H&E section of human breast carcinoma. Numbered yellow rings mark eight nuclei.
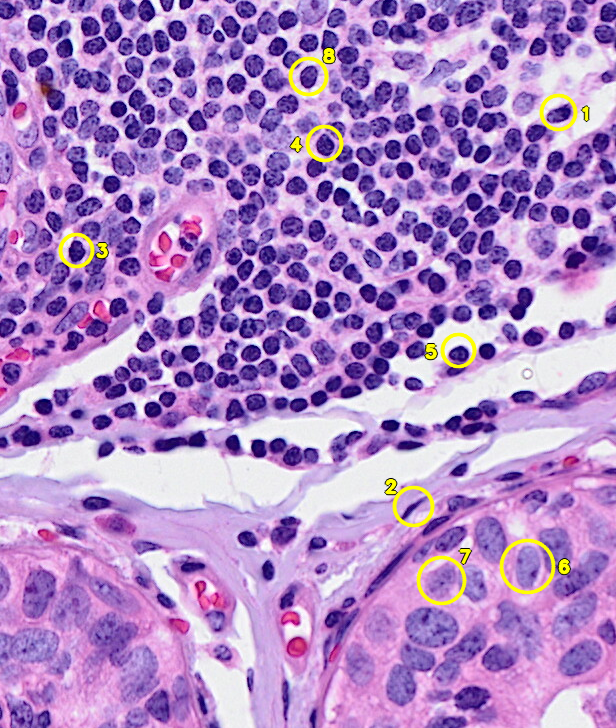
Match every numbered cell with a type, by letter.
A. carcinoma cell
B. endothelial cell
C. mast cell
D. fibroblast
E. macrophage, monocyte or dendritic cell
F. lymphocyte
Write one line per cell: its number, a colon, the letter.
1: F
2: D
3: F
4: F
5: F
6: A
7: A
8: F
